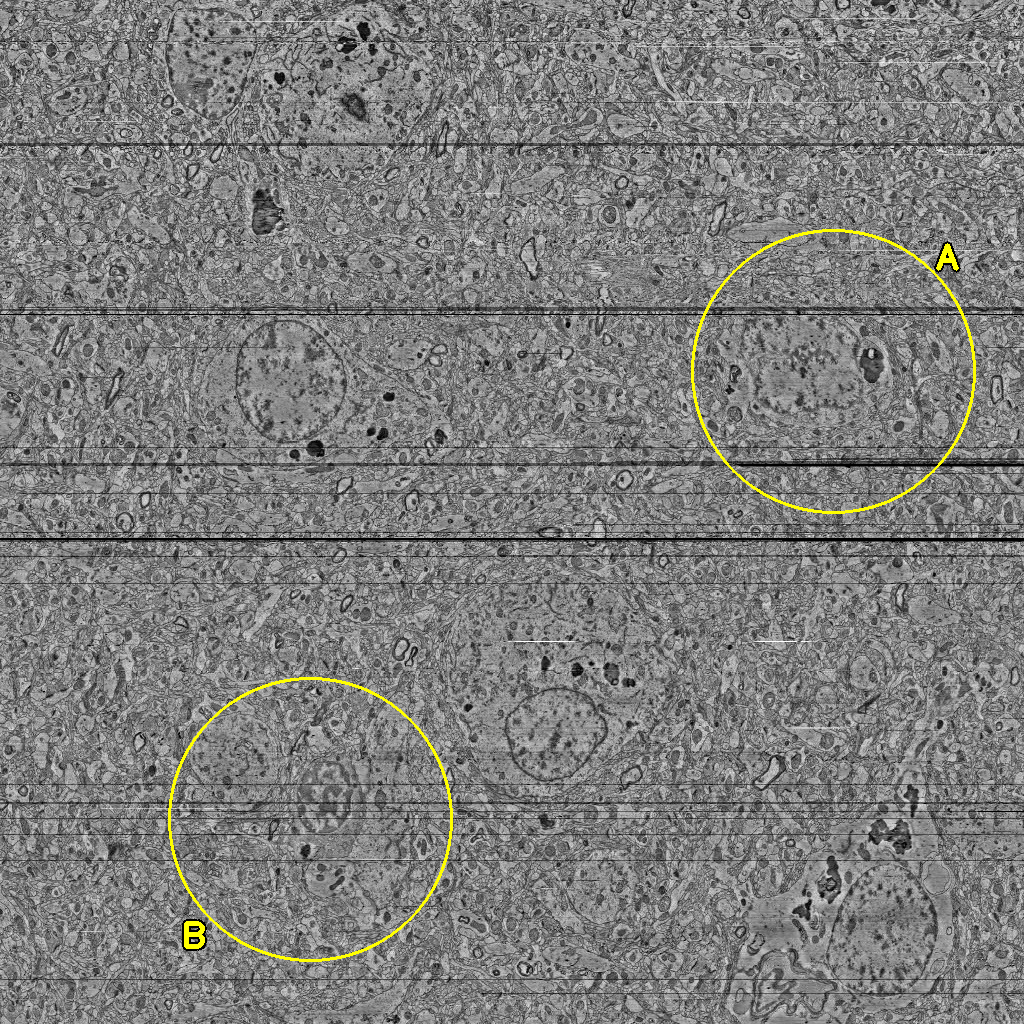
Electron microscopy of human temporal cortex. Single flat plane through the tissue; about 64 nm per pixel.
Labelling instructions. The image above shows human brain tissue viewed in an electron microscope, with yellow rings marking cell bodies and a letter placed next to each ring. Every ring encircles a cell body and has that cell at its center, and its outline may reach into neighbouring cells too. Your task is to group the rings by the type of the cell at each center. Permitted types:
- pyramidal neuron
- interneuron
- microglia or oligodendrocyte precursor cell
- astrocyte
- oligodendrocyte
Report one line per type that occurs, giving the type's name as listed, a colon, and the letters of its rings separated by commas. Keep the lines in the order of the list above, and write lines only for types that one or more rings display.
interneuron: A
oligodendrocyte: B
